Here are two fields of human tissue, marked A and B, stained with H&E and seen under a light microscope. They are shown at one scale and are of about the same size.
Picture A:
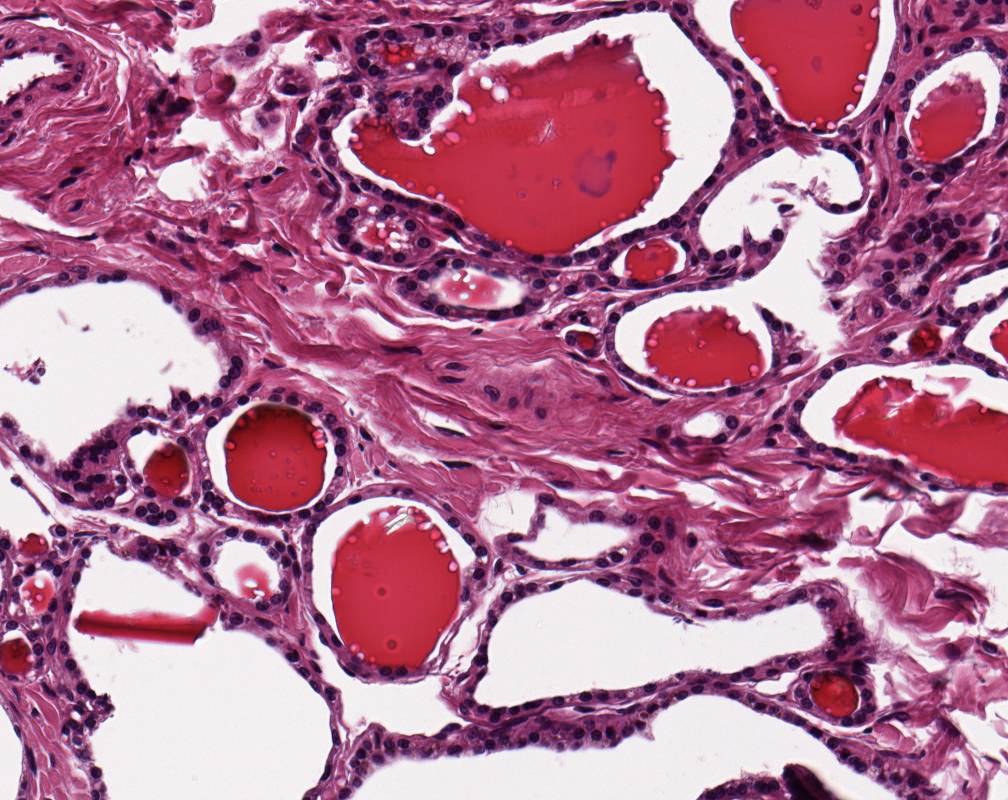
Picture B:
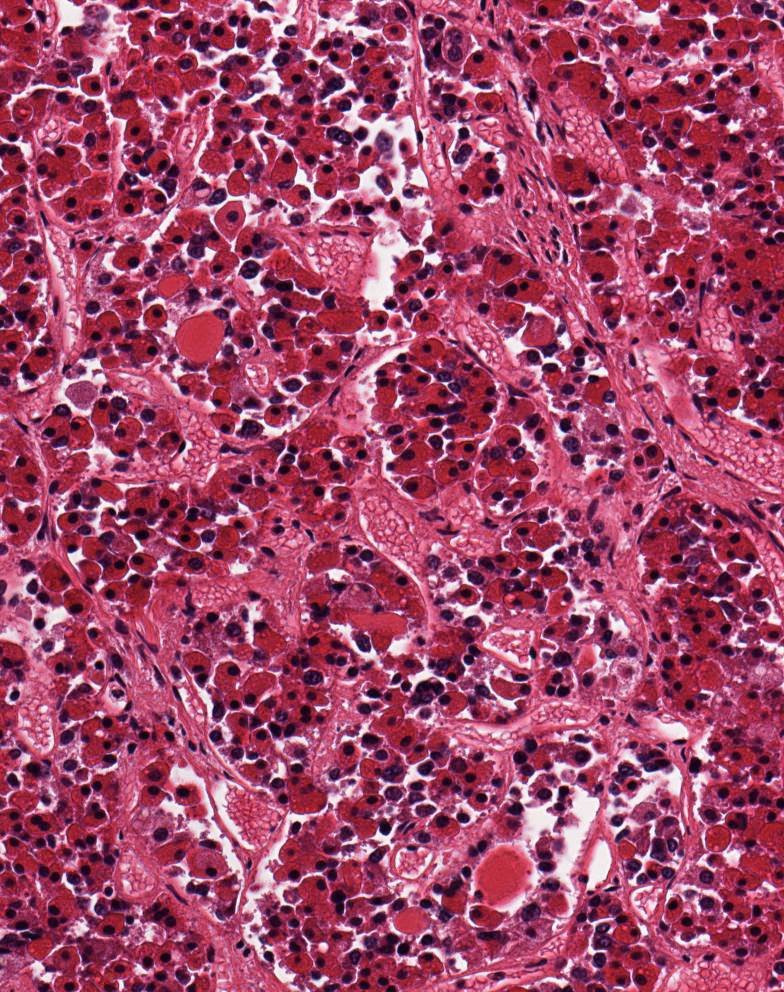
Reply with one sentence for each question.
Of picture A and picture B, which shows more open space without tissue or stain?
It is picture A in which white space covers the larger part.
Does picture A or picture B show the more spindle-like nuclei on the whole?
Longer, more slender nuclei lie in picture A.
